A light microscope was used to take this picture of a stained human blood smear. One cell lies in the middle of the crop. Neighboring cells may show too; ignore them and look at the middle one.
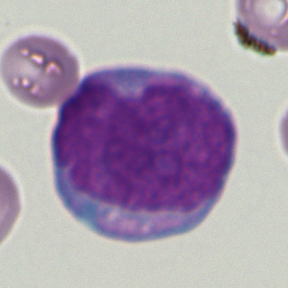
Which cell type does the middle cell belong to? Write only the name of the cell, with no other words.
atypical promyelocyte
